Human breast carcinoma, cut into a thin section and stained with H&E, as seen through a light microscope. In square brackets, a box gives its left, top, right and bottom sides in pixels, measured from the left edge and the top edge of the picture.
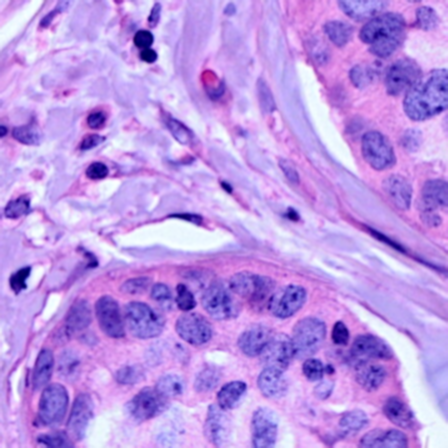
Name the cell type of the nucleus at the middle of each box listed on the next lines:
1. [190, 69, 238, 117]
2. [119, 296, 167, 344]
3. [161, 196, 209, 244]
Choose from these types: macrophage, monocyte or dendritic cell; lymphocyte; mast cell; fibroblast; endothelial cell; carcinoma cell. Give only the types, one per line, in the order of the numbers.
endothelial cell
carcinoma cell
fibroblast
